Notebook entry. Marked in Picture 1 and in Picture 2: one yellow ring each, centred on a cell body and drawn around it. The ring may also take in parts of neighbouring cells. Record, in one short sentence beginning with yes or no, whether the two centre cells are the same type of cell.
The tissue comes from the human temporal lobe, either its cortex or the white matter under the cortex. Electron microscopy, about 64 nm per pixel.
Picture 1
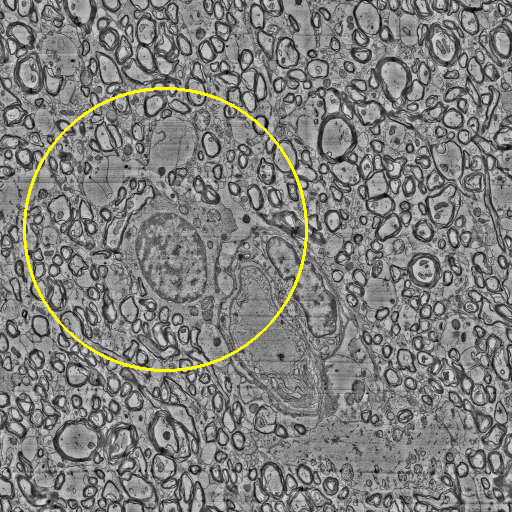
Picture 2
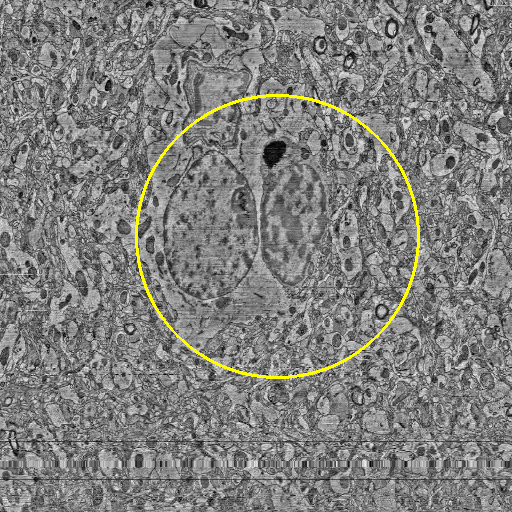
Yes, both are the same type of cell.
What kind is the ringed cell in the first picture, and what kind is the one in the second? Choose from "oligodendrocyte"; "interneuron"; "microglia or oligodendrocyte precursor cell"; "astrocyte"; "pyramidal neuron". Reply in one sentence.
The first and the second cell are each an oligodendrocyte.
